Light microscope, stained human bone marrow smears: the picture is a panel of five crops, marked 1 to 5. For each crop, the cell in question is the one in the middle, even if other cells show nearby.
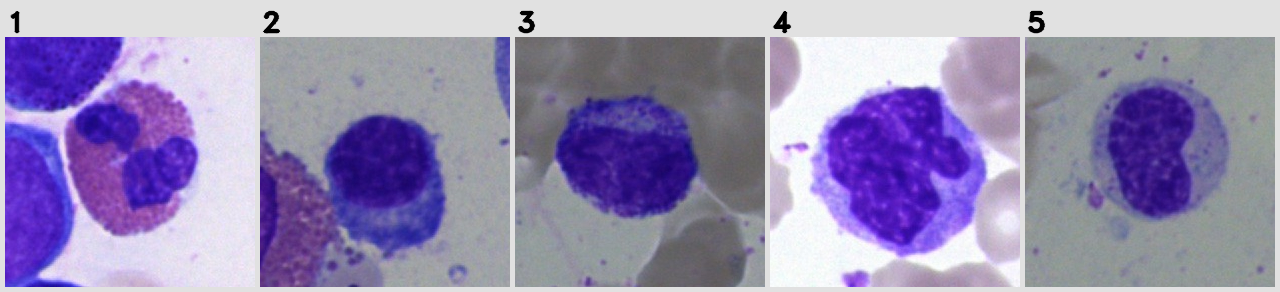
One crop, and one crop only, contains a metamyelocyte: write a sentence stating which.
Crop 5 is the crop containing a metamyelocyte.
